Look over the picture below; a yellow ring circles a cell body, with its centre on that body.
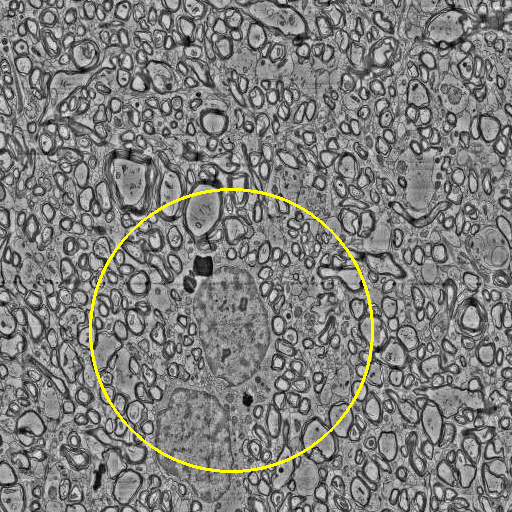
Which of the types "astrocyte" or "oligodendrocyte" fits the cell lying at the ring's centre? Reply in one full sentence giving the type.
The picture shows an oligodendrocyte at the centre of the yellow ring.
